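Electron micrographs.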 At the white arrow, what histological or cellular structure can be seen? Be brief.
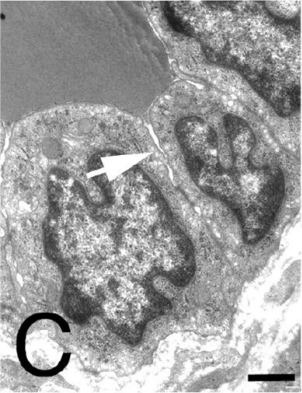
gap between endothelial cells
